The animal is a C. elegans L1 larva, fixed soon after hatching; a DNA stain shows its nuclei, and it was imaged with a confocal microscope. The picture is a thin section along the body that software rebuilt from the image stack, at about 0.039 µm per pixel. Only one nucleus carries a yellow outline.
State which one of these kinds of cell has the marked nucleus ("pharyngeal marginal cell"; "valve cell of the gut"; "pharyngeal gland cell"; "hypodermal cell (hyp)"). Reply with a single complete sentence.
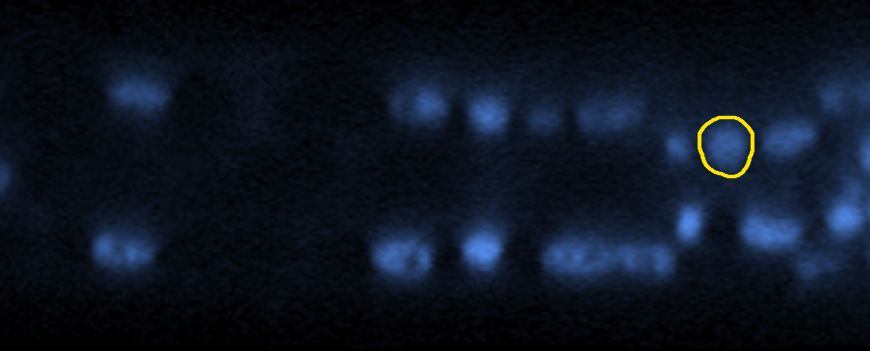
The marked nucleus is that of a pharyngeal gland cell.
